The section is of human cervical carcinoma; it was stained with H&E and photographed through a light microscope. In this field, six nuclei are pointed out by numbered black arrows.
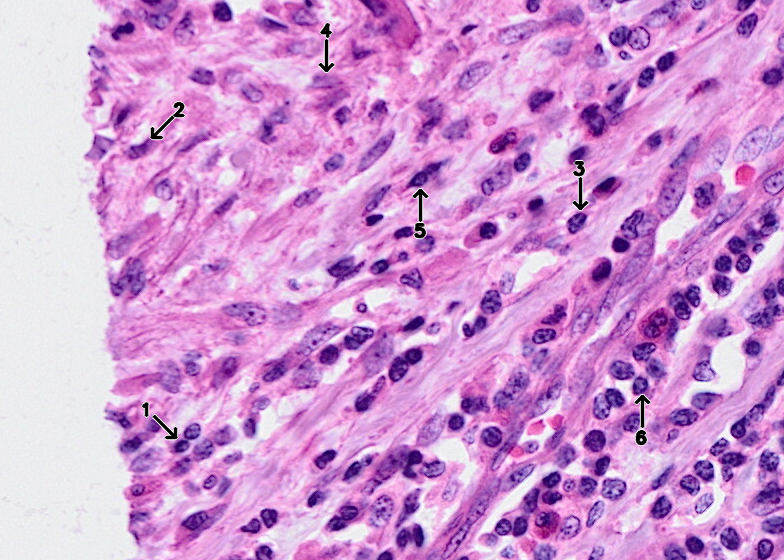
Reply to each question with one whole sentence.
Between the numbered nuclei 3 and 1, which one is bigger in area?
It is nucleus 3, which covers about 1.5 times the area of nucleus 1.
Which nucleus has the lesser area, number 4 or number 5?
With nucleus 4 about 1.5 times its size, nucleus 5 is the smaller of the two.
